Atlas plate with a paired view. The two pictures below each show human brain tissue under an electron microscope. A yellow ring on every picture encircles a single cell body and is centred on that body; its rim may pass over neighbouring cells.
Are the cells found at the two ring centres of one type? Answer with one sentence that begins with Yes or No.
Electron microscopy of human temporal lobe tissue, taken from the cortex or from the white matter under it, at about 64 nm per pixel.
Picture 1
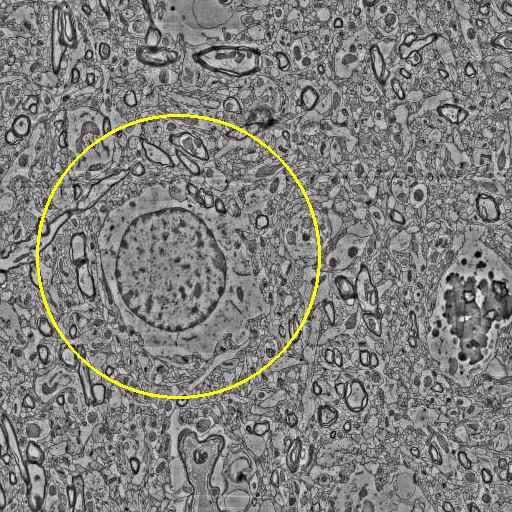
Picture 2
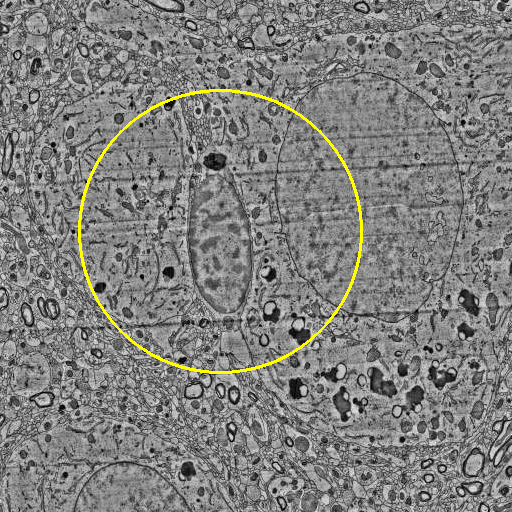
No, the two cells lying at the centres of the rings are of two types.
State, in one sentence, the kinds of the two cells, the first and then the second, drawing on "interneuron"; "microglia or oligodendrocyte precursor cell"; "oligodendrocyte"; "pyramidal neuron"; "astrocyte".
The ring in the second picture is centred on an oligodendrocyte, the ring in the first on an astrocyte.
